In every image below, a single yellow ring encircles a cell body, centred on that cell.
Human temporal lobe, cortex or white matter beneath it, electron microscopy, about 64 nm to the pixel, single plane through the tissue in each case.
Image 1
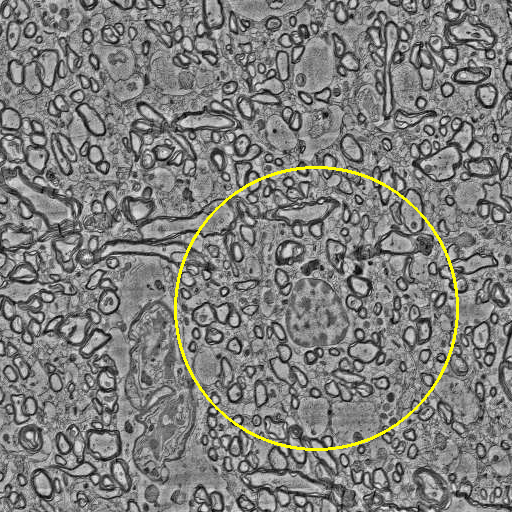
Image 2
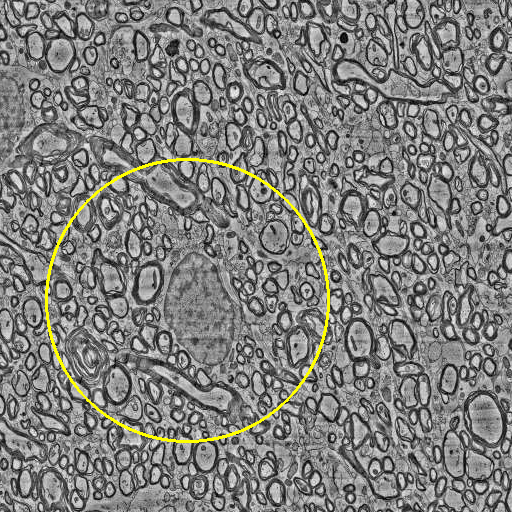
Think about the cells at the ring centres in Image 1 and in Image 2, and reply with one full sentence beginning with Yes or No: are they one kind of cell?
No, the cells centred in the rings of Image 1 and Image 2 are two kinds of cell.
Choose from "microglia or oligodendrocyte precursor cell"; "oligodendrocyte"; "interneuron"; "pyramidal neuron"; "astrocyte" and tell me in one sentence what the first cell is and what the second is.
What the first ring is centred on is a microglial cell or oligodendrocyte precursor cell; what the second ring is centred on is an oligodendrocyte.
